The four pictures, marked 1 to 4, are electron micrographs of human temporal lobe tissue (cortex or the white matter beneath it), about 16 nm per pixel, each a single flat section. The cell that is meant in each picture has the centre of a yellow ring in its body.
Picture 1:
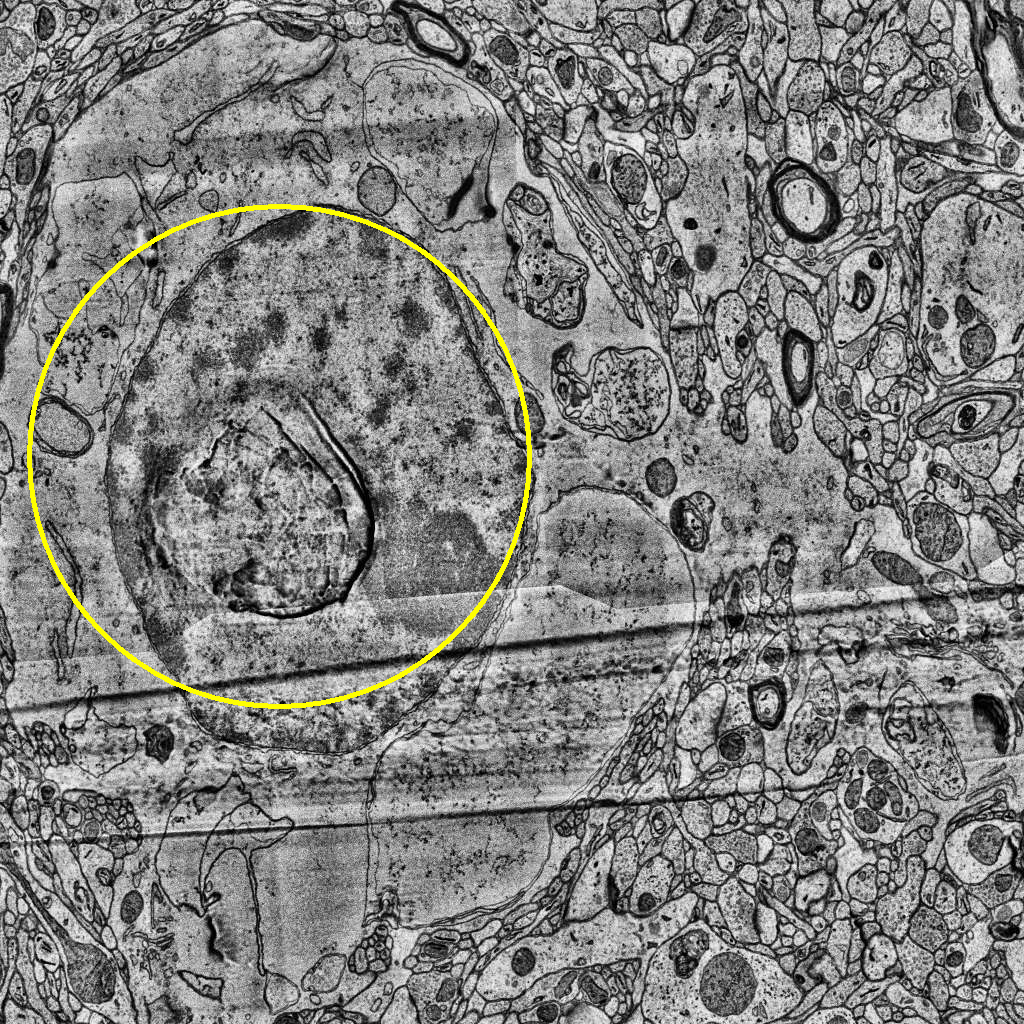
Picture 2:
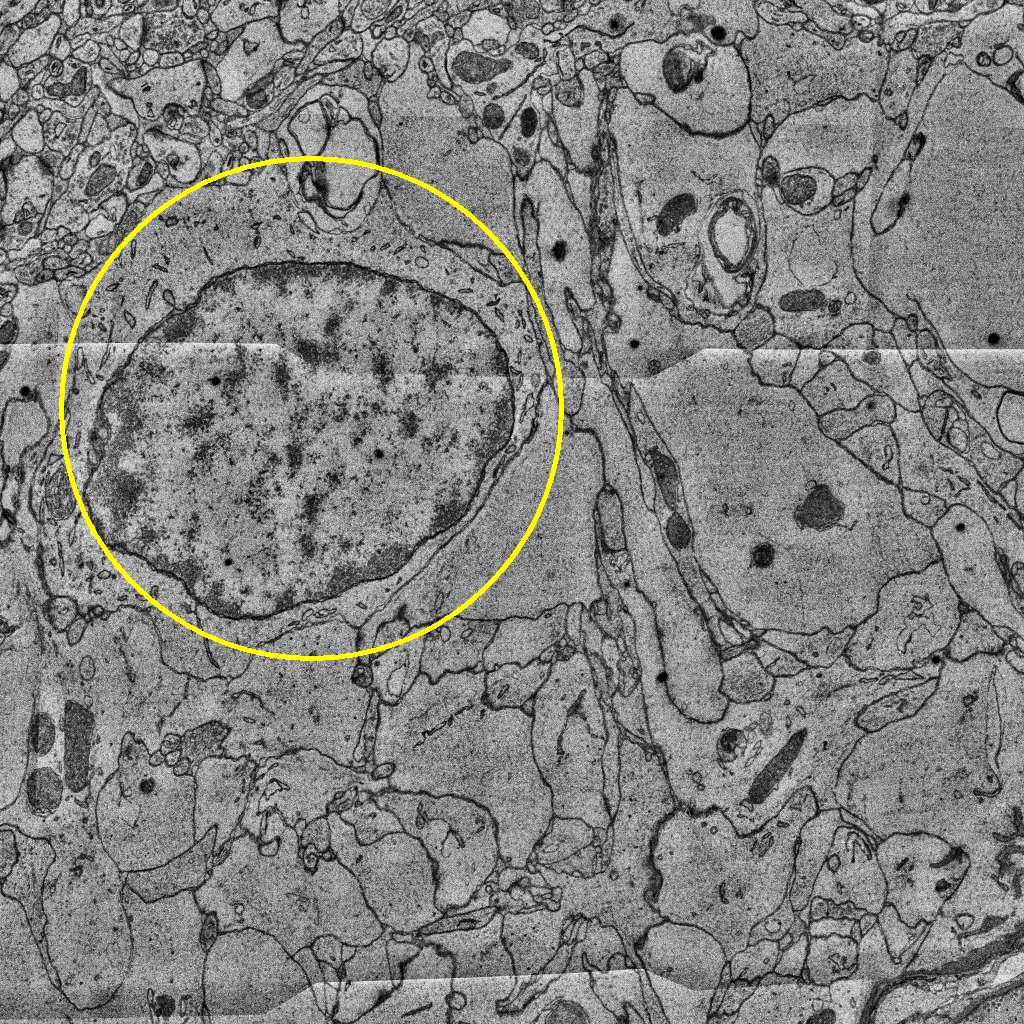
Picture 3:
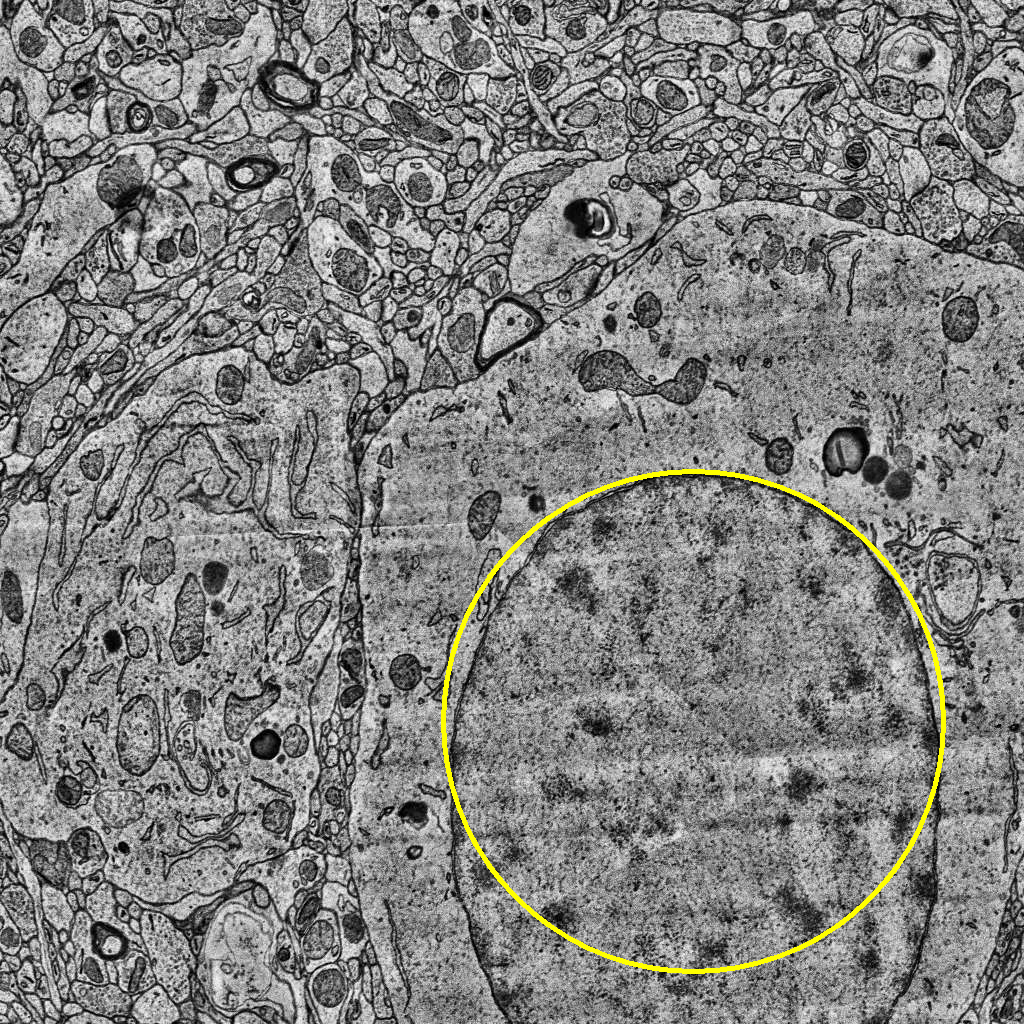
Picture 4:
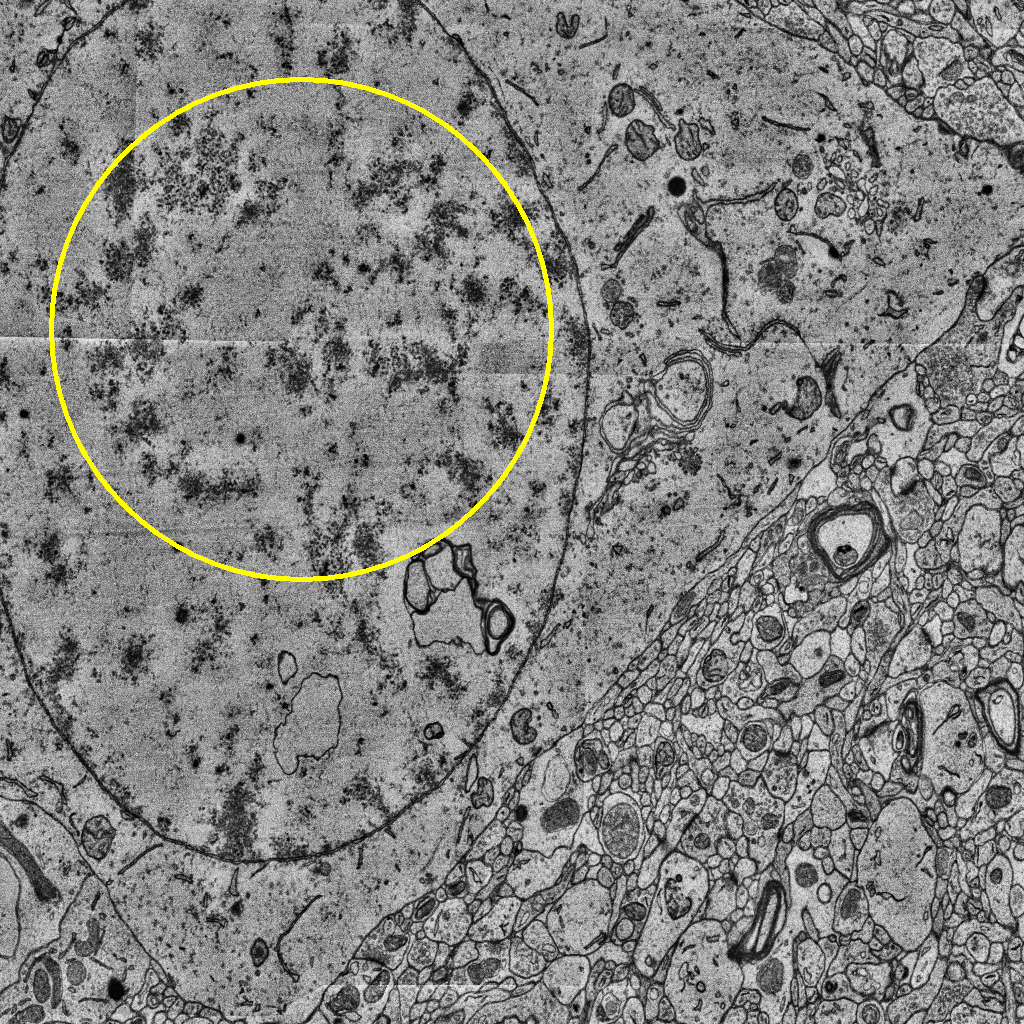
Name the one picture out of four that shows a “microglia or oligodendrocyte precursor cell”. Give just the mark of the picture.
2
